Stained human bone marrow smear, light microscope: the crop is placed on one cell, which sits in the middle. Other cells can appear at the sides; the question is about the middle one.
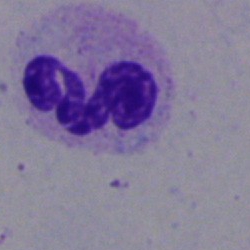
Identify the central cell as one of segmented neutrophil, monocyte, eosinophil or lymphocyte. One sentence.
By type, the central cell of the crop is a segmented neutrophil.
